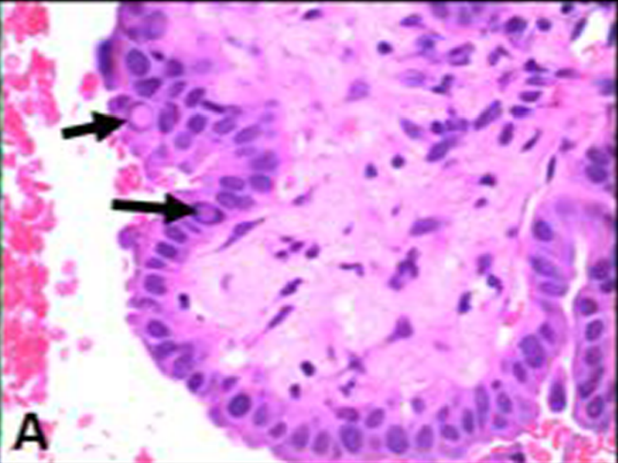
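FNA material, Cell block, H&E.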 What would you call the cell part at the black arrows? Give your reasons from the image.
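The arrowed nuclei each hold a round, sharply bounded pale pink body. The rest of each arrowed nucleus is a rim of purple chromatin around that body.
Conclusion: intranuclear pseudoinclusions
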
